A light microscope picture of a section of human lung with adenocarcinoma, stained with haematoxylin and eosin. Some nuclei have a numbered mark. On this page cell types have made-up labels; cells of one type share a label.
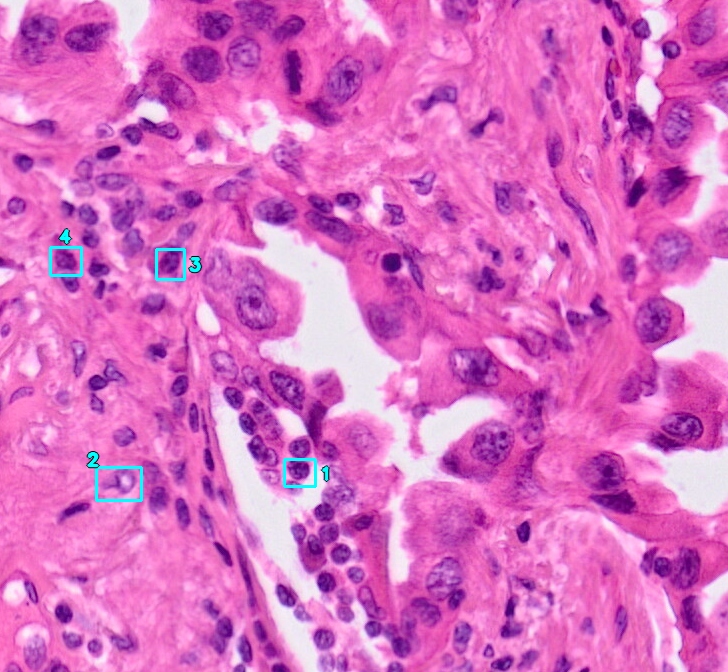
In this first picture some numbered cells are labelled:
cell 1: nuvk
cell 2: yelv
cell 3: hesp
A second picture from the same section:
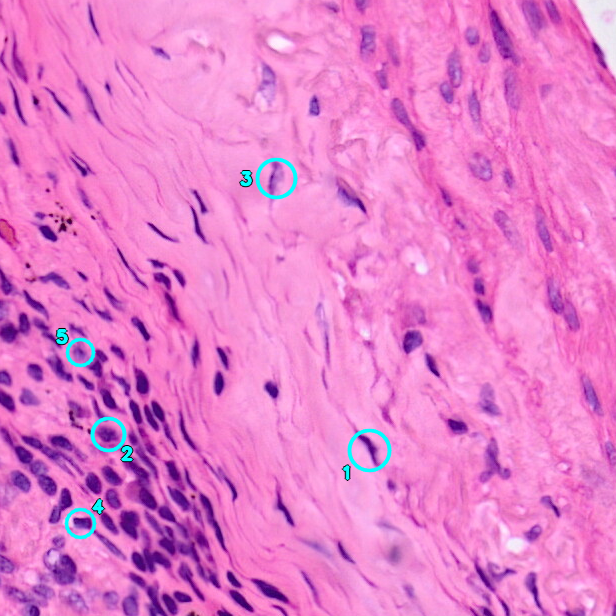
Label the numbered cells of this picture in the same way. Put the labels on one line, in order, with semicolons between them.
yelv; hesp; yelv; nuvk; nuvk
